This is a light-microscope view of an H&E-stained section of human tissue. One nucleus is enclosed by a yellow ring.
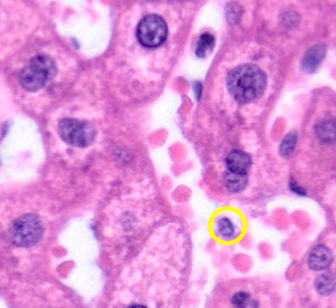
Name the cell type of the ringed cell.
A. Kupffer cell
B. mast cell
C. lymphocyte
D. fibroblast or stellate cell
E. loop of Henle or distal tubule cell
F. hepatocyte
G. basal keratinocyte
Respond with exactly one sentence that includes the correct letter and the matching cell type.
Option A is the correct one: the ringed cell is a Kupffer cell.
